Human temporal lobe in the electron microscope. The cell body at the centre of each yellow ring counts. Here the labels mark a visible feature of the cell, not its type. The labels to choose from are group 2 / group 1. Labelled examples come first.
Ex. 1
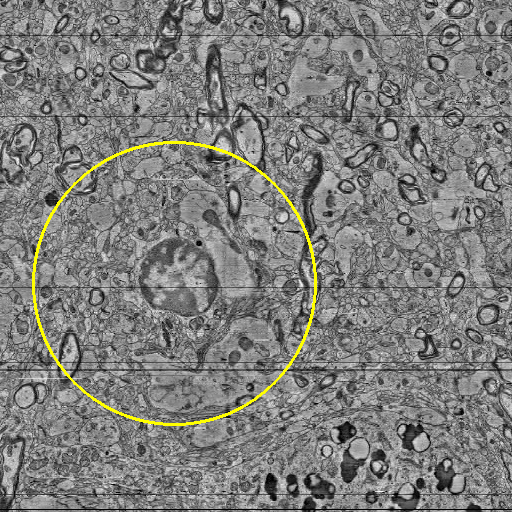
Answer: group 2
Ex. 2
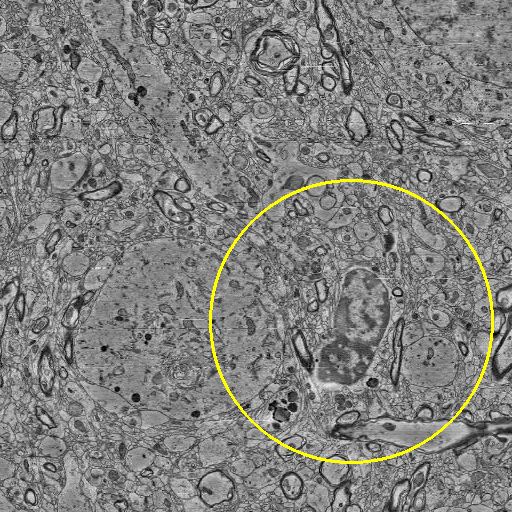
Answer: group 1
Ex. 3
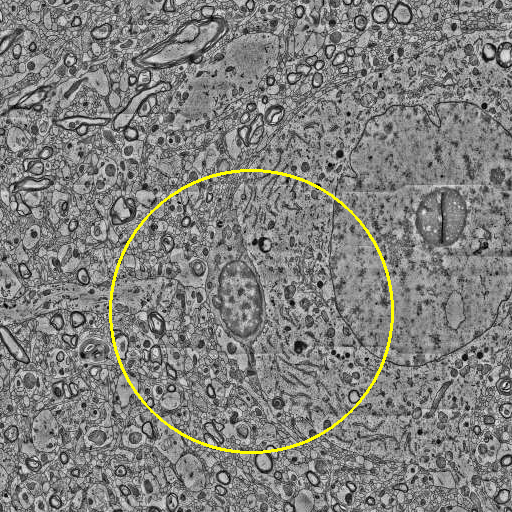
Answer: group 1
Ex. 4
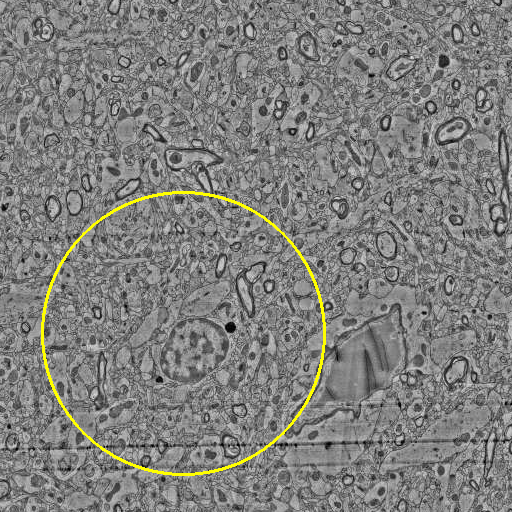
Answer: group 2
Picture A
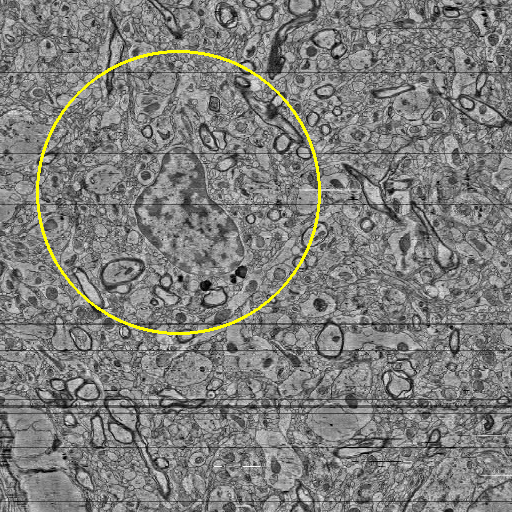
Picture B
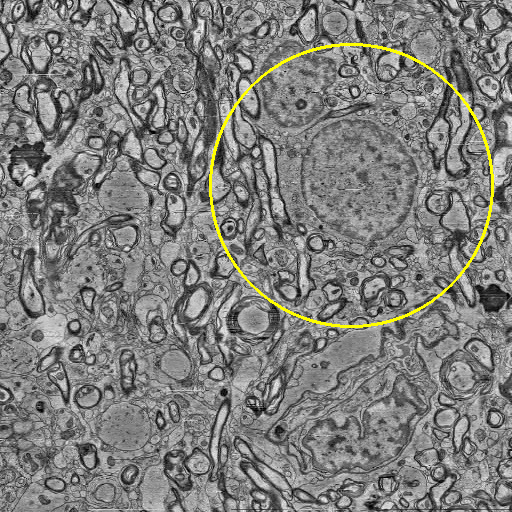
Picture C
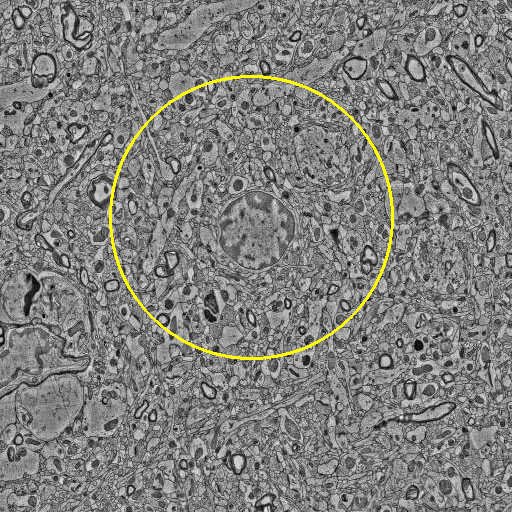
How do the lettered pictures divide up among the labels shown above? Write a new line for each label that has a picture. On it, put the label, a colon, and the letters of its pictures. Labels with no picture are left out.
group 2: B, C
group 1: A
